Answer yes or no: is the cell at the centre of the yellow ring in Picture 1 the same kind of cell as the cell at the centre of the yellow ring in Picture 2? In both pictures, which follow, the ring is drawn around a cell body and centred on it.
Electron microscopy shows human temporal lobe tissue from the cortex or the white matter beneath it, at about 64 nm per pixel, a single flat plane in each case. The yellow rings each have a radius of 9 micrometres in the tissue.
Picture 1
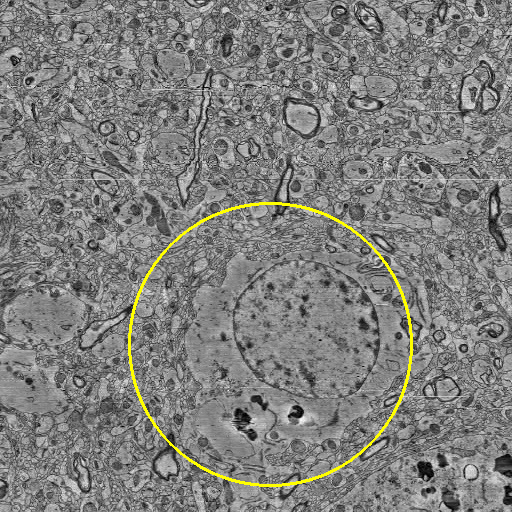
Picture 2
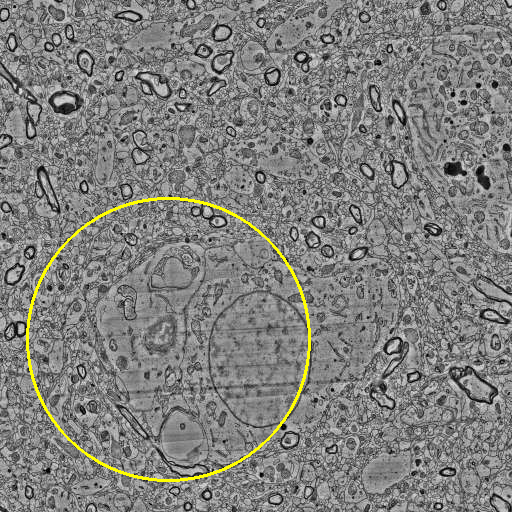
yes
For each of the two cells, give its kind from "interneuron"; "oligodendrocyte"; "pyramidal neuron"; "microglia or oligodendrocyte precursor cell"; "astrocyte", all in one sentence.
Both the first and the second picture show an astrocyte in the ring.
